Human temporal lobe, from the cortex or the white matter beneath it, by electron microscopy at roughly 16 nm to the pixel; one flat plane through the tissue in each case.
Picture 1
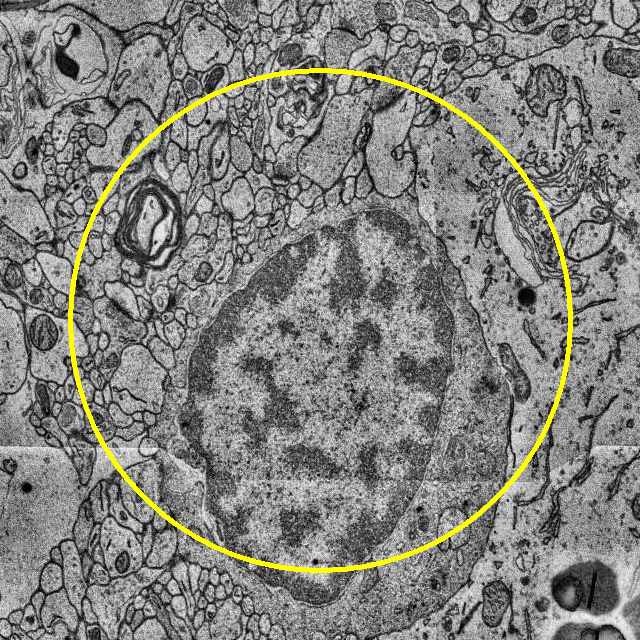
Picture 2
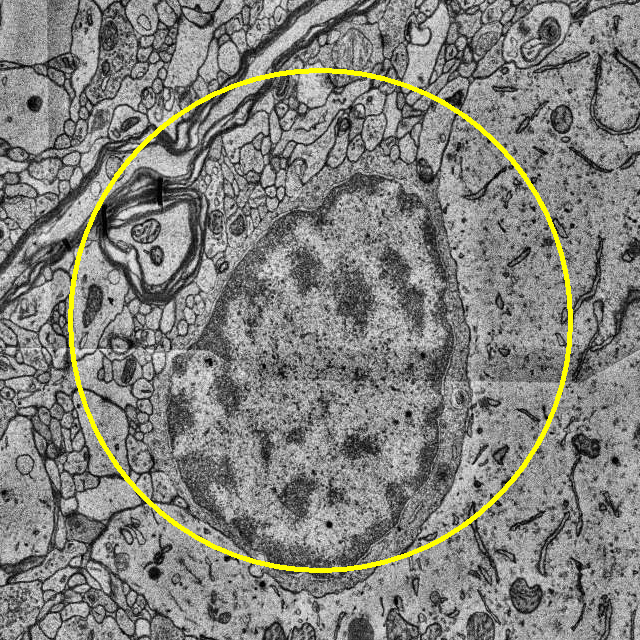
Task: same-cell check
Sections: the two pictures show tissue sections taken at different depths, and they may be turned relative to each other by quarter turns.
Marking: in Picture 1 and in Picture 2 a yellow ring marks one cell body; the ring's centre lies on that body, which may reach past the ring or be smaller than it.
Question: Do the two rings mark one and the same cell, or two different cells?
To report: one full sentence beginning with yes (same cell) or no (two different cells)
Yes, one and the same cell lies under both rings.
